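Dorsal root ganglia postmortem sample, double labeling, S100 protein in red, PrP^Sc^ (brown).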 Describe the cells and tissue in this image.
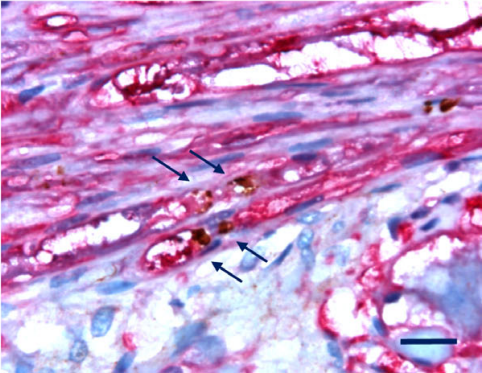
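Small brown granular deposits lie along some fibres, clustered close together at short gaps in the red sheath. Blue-stained nuclei are scattered between the fibres, and a pale blue rounded profile is at the lower right edge.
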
